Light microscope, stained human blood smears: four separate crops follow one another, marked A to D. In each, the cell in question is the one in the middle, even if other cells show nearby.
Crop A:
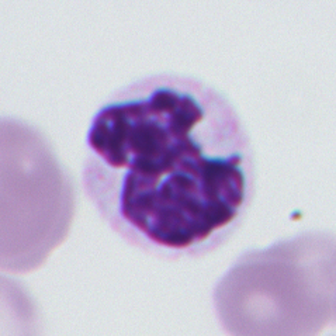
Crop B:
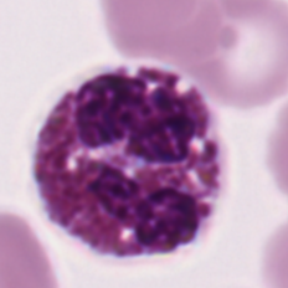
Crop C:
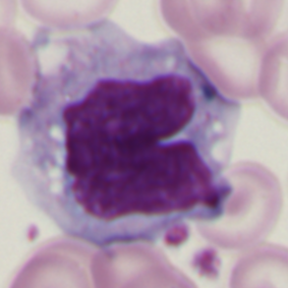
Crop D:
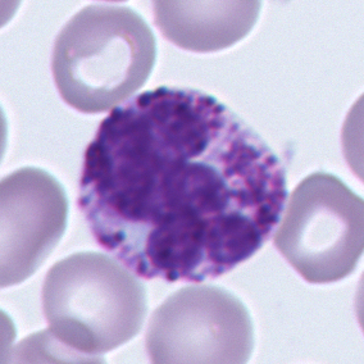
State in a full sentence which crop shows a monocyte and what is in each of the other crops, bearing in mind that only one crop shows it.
It is a monocyte that crop C shows, while crop A is a segmented neutrophil, crop B is an eosinophil and crop D is a basophil.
